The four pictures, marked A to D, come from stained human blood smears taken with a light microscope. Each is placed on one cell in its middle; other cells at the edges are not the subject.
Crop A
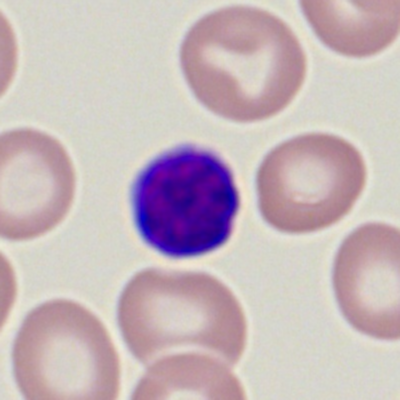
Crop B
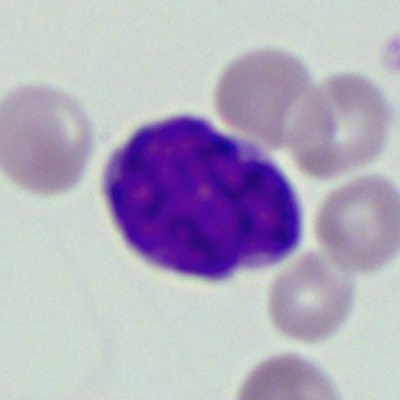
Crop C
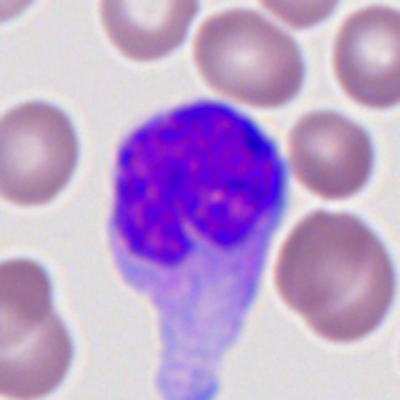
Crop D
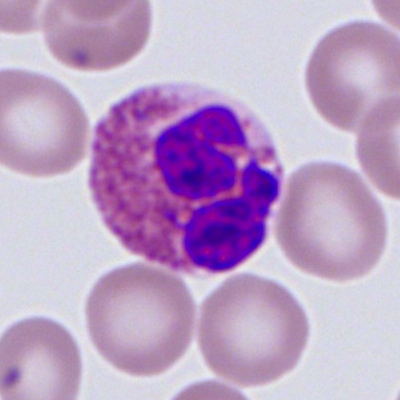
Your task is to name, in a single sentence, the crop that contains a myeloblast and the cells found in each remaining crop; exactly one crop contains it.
Crop B is recognised as a myeloblast, whereas crop A is a lymphocyte, crop C is a monocyte and crop D is an eosinophil.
